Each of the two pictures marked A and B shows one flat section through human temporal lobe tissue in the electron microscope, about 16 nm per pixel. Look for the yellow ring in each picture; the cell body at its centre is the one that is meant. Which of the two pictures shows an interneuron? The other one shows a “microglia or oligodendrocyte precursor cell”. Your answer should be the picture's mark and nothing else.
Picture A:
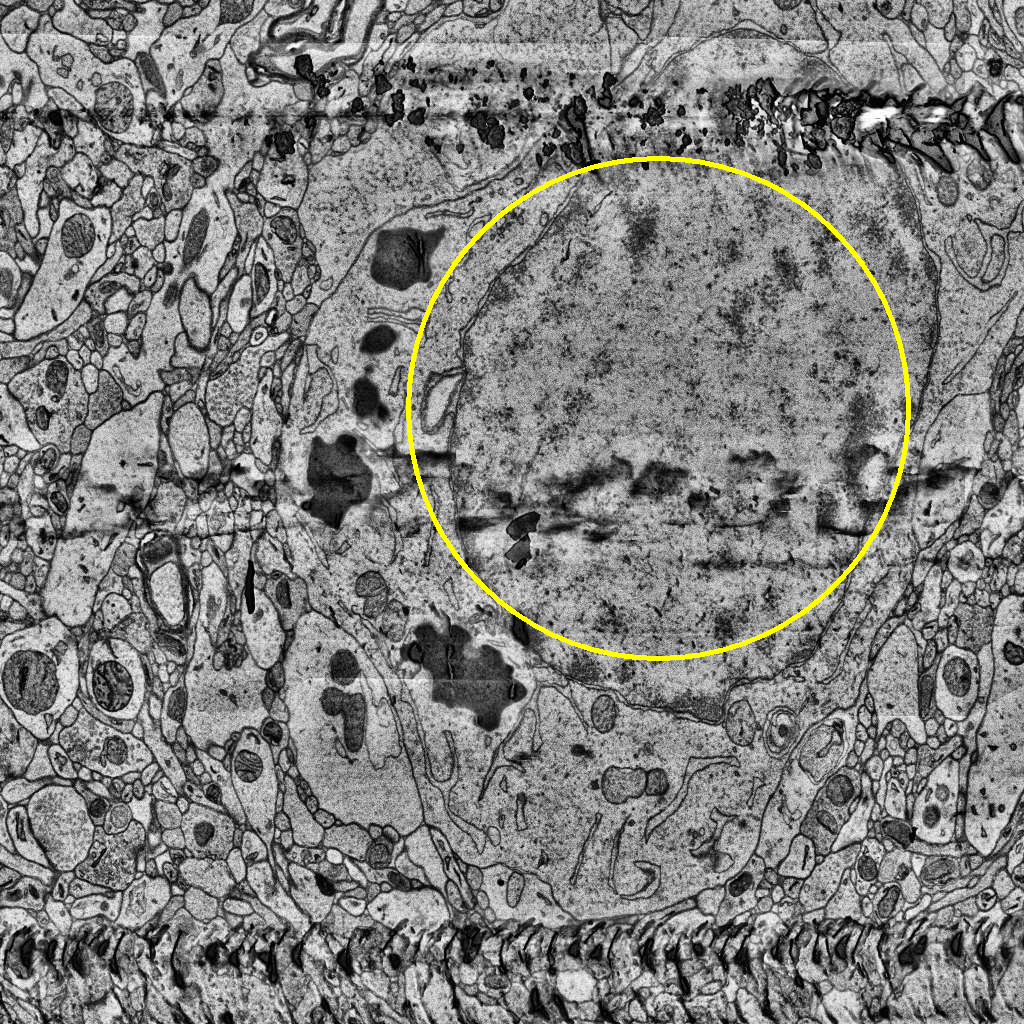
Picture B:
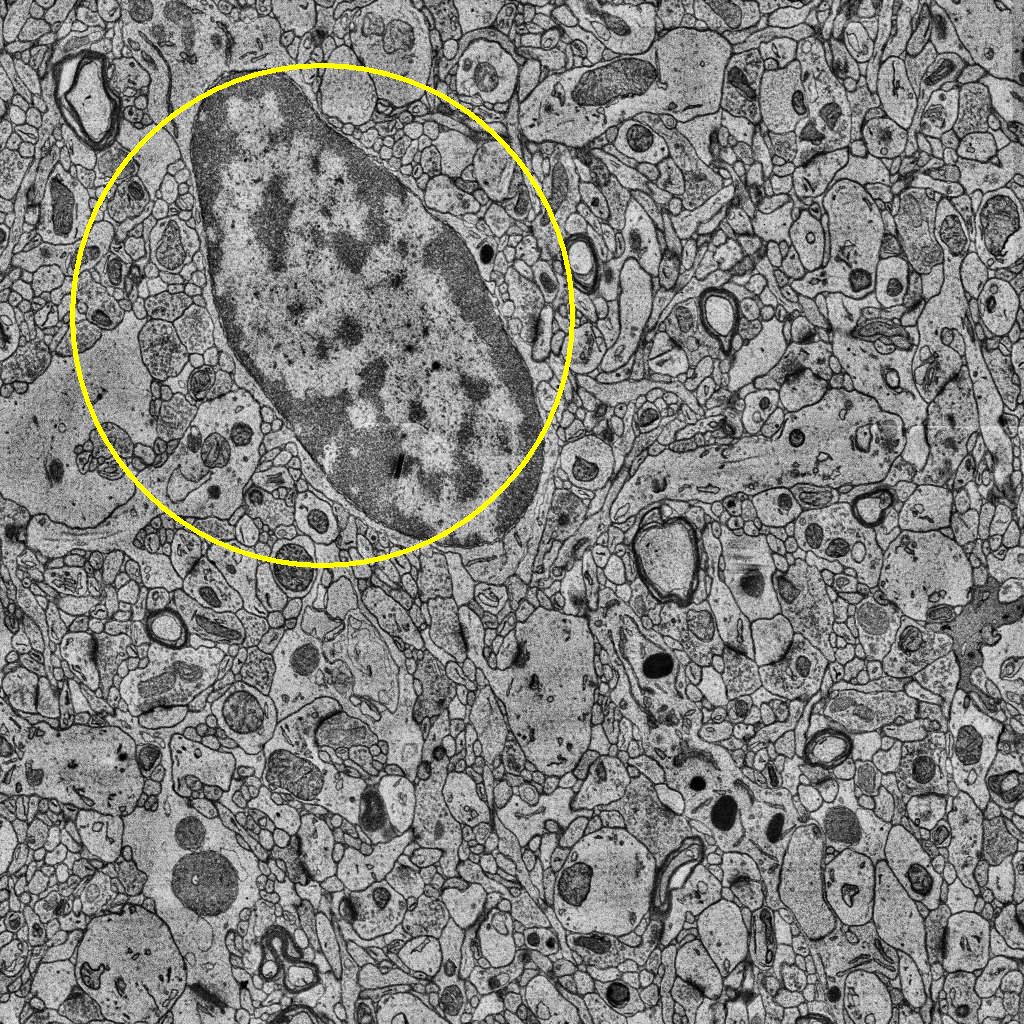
A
